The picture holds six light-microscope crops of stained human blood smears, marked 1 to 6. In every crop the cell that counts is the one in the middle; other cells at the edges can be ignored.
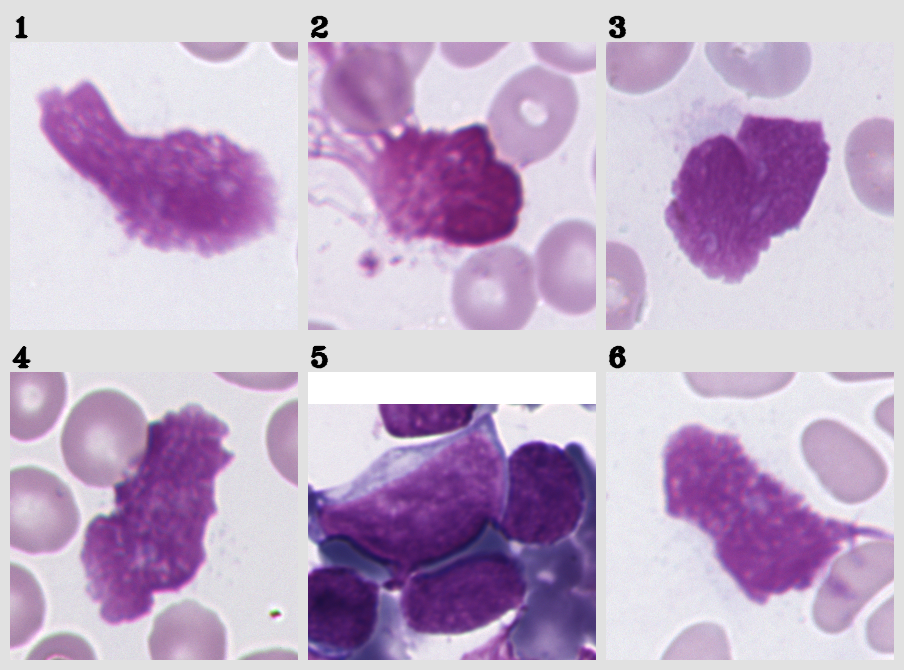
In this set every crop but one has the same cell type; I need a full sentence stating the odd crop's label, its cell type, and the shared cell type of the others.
Where the others show smudge cells, crop 5 shows a myeloblast.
